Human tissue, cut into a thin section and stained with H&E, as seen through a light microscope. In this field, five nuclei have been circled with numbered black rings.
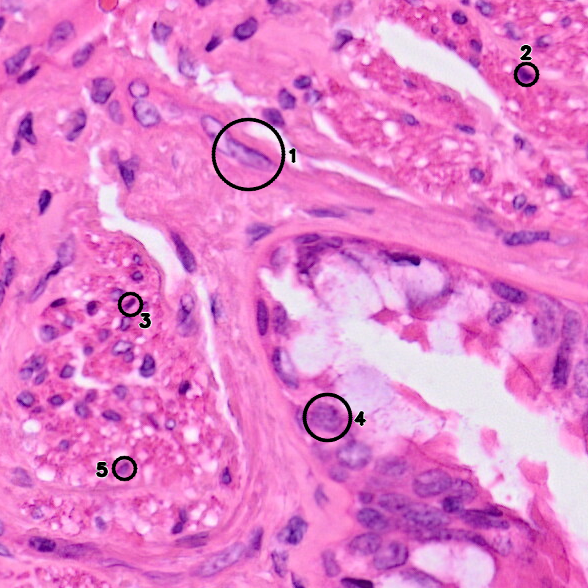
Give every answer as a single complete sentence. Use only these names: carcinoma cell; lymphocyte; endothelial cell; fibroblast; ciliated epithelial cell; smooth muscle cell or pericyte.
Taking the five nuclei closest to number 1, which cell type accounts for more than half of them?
Around number 1, most of the five nearest nuclei are those of fibroblasts.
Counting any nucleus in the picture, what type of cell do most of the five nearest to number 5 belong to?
Around number 5, most of the five nearest nuclei are those of smooth muscle cells or pericytes.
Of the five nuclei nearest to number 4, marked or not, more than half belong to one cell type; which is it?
The majority of the five nuclei closest to number 4 belong to ciliated epithelial cells.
